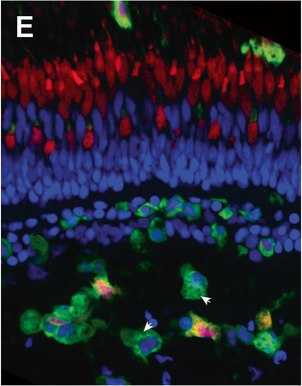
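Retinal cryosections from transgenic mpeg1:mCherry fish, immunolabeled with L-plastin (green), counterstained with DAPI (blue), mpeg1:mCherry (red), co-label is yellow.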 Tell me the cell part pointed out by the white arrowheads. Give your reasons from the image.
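The cells lie in the inner retina below the nuclear layers.
Hence: vacuoles.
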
